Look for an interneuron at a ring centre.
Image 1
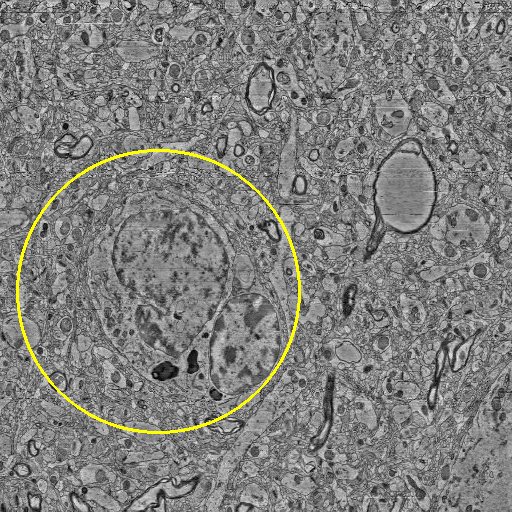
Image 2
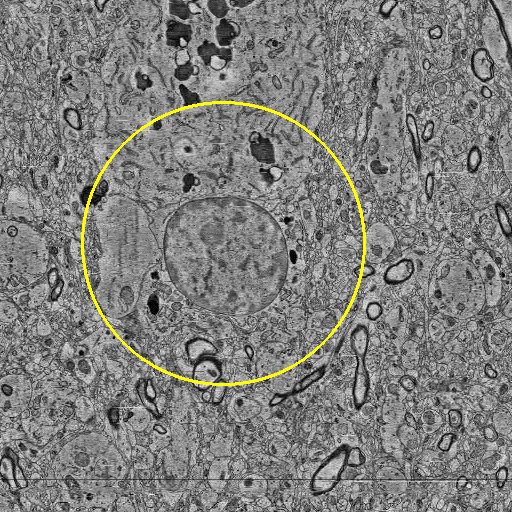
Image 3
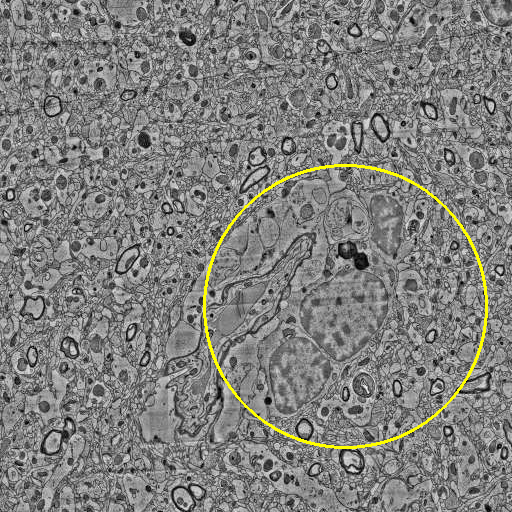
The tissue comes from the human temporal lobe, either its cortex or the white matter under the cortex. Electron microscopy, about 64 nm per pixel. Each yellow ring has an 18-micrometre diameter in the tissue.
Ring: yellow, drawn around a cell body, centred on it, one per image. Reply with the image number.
1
